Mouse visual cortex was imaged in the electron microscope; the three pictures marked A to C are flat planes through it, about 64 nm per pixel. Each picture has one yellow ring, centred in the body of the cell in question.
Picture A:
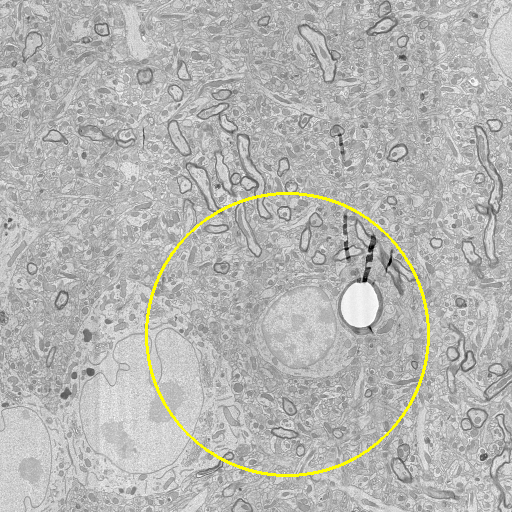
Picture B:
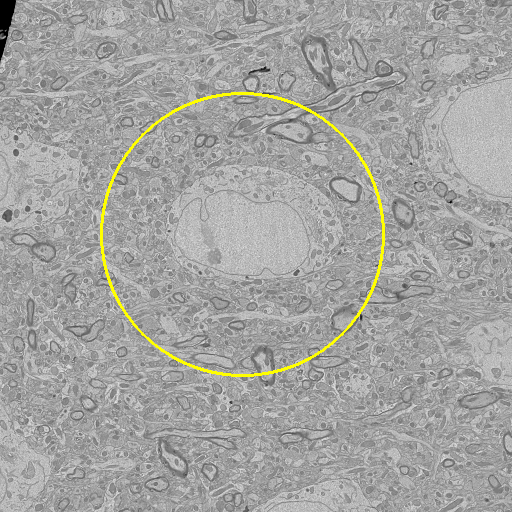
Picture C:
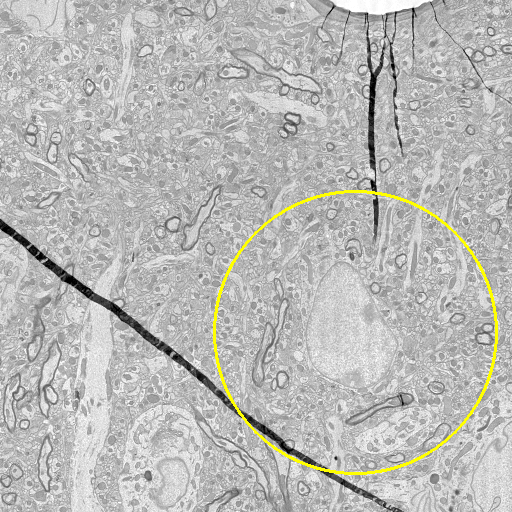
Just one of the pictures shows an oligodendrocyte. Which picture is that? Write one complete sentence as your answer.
It is picture A that shows the oligodendrocyte.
